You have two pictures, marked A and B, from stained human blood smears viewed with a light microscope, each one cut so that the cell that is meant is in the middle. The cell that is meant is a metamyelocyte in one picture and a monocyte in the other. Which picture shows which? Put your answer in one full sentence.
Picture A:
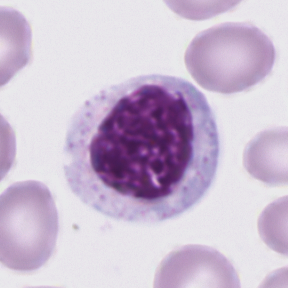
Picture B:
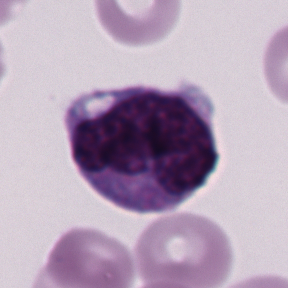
Picture A is of a metamyelocyte, and picture B is of a monocyte.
